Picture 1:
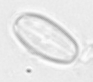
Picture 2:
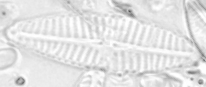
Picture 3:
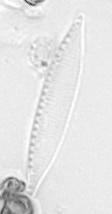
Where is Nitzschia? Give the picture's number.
3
